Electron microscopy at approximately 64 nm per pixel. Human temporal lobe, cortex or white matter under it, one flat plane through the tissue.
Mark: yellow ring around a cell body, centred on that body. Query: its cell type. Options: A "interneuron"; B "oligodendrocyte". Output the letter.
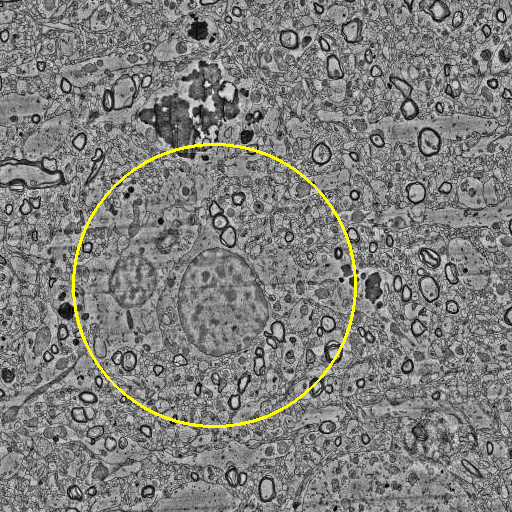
B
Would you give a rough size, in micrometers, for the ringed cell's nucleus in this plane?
The nucleus is approximately 7 micrometers long by 6 micrometers wide in this plane.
